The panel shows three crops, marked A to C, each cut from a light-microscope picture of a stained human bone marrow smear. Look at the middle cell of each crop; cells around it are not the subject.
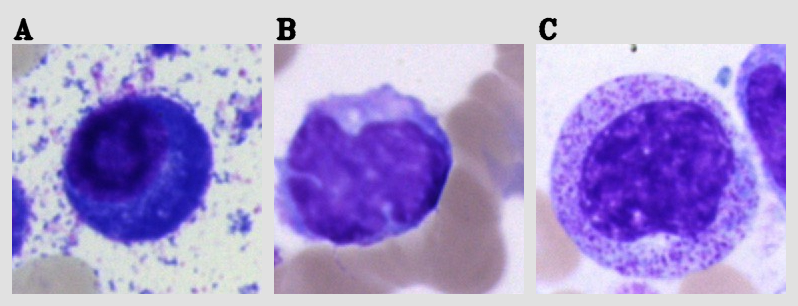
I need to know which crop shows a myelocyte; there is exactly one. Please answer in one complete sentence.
Identified crop: C, the one that shows a myelocyte.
